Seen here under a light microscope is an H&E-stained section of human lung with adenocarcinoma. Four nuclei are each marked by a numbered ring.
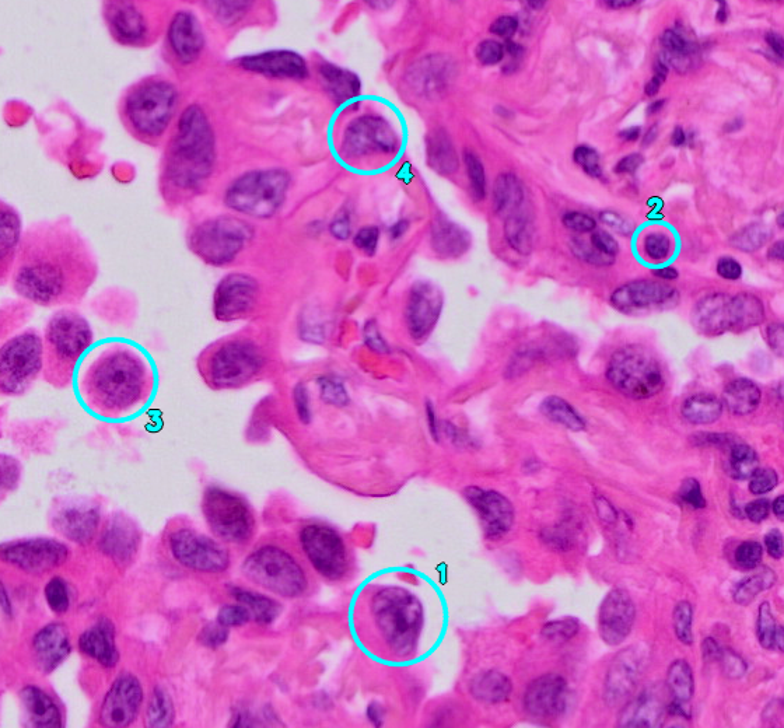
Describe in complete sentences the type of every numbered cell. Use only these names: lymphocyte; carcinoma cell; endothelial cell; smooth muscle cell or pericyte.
Cell 1 is a carcinoma cell, cell 2 is a lymphocyte, cell 3 is a carcinoma cell and cell 4 is a carcinoma cell.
